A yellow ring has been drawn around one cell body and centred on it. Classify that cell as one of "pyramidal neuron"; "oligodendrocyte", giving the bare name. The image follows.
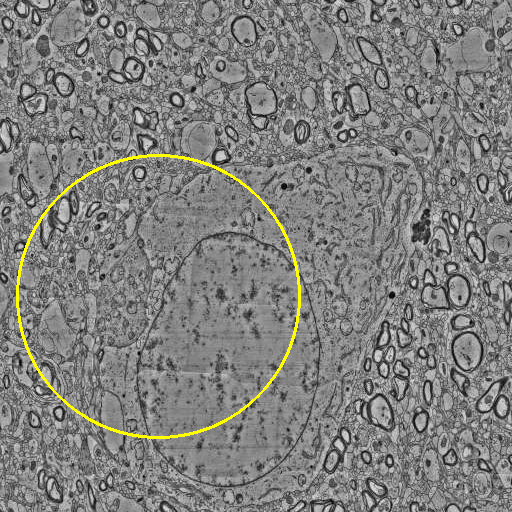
oligodendrocyte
